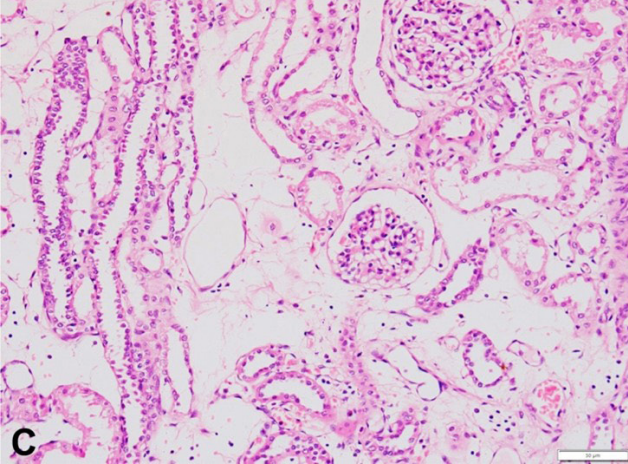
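This is kidney tissue with glomeruli and tubules lined by cuboidal epithelial cells with pink cytoplasm and round nuclei. The tubules and glomeruli are pushed apart by a widened, pale, loose and watery interstitium, consistent with edema. A few thin-walled empty spaces lie within this loose interstitium.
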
